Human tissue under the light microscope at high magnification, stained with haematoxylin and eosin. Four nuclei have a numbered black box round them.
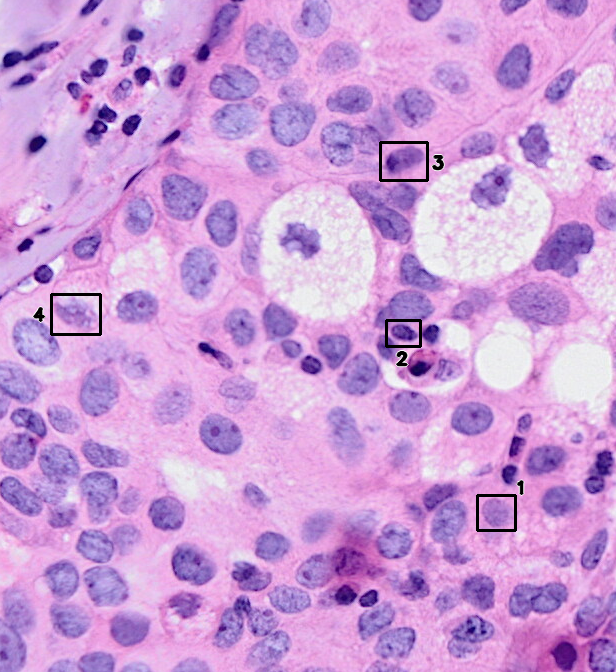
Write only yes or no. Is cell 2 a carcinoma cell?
no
